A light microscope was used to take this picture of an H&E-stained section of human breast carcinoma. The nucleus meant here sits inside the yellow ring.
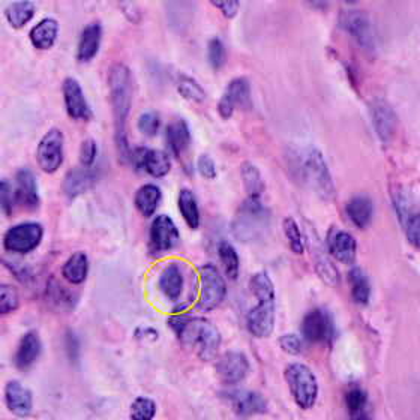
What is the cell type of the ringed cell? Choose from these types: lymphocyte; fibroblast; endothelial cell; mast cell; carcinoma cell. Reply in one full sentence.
In cellular terms, the ringed cell is a lymphocyte.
